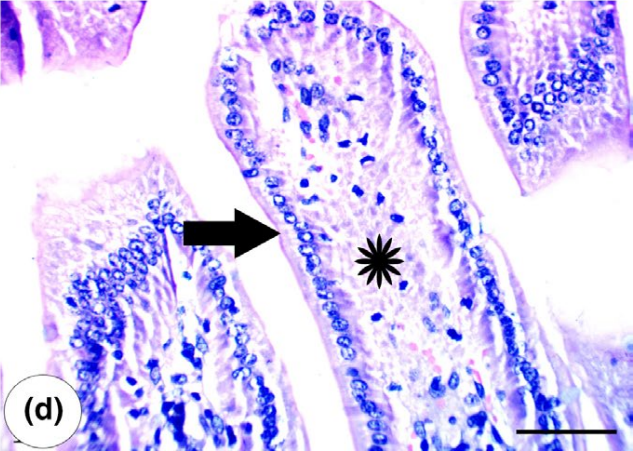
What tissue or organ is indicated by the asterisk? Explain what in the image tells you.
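The asterisk lies in the pale loose core of the projection. A row of surface cells with nuclei borders the core on both sides. That points to this answer: lamina propria.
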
